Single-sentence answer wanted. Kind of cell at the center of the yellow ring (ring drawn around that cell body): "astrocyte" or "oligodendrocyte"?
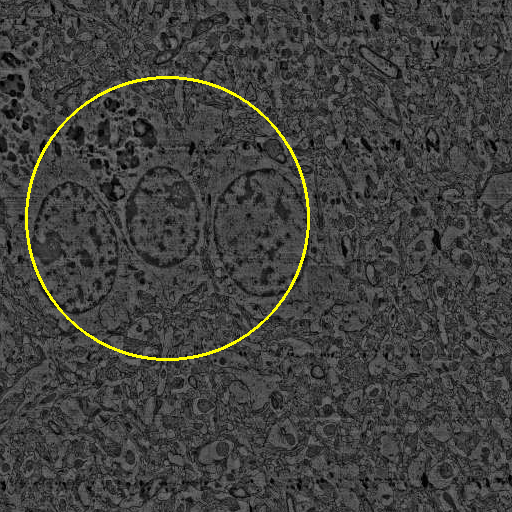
The cell centered in the ring is an astrocyte.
